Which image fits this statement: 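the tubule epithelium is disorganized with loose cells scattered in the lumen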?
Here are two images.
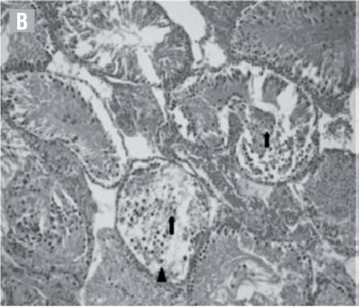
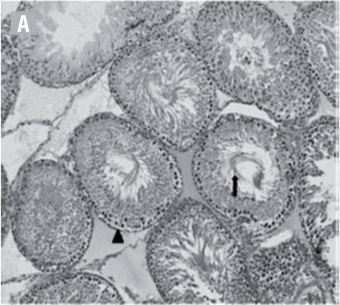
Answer: The first image.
